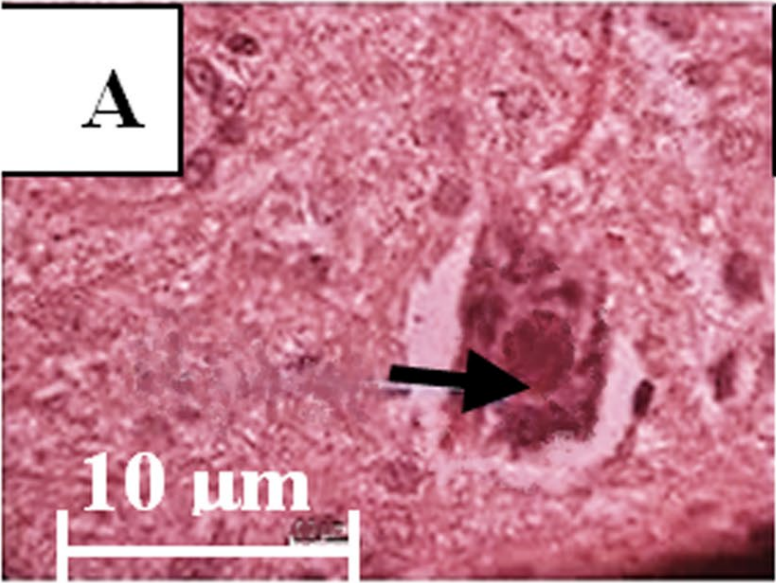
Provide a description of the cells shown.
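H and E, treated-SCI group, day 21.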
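This section of nervous tissue shows a large neural cell lying in a pink, finely fibrillar background. The cell body is angular and much larger than the small round nuclei scattered around it. Its cytoplasm holds dense, clumped dark purplish material. A narrow clear space separates the cell body from the surrounding tissue. Small round nuclei of other cells are spread through the background.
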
